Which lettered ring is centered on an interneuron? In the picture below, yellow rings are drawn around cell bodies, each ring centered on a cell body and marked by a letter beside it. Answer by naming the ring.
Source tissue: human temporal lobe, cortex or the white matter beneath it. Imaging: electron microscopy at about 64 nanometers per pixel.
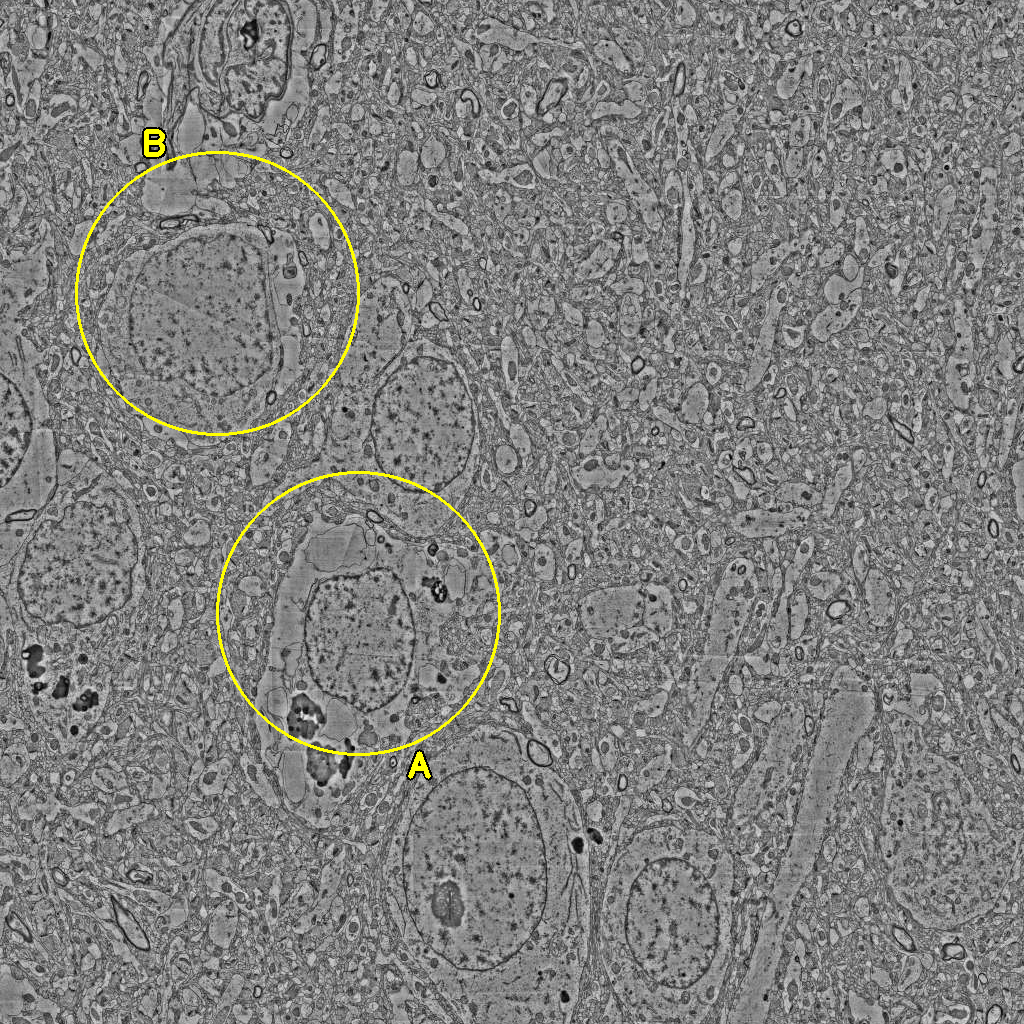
Ring B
